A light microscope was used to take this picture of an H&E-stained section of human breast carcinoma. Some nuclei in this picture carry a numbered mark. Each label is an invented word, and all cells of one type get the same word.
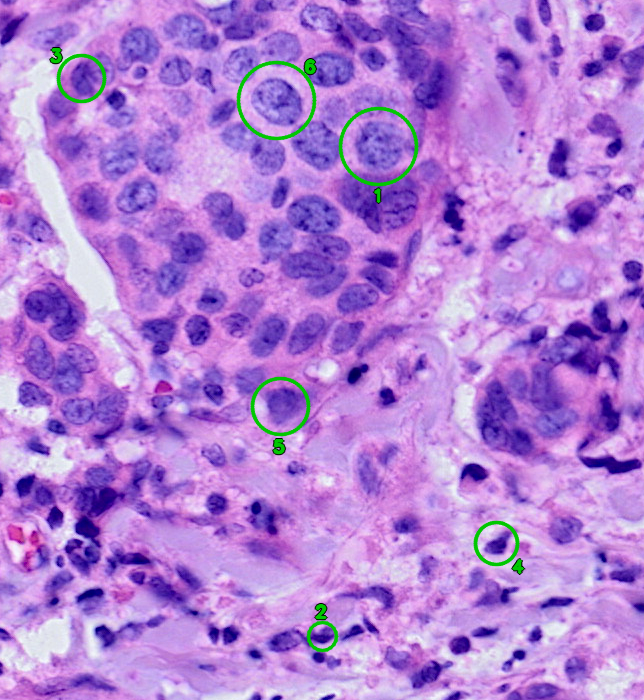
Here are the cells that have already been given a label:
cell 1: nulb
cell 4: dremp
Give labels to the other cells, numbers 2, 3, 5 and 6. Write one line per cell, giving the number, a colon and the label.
2: dremp
3: nulb
5: nulb
6: nulb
